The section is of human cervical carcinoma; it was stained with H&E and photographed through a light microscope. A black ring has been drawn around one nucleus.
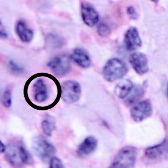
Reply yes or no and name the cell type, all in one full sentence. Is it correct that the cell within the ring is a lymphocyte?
Yes, that is right: the cell within the ring is a lymphocyte.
